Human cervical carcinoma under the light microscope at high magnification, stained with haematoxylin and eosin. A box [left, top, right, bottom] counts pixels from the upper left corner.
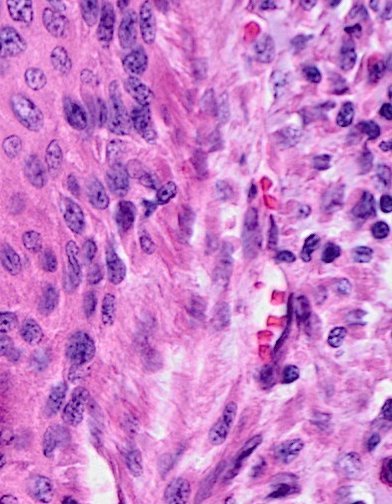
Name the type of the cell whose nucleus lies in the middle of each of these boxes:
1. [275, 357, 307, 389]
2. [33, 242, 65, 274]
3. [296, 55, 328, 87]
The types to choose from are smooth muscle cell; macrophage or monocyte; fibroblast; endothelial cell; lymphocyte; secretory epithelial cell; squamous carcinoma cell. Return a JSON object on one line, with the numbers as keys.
{"1": "lymphocyte", "2": "squamous carcinoma cell", "3": "lymphocyte"}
